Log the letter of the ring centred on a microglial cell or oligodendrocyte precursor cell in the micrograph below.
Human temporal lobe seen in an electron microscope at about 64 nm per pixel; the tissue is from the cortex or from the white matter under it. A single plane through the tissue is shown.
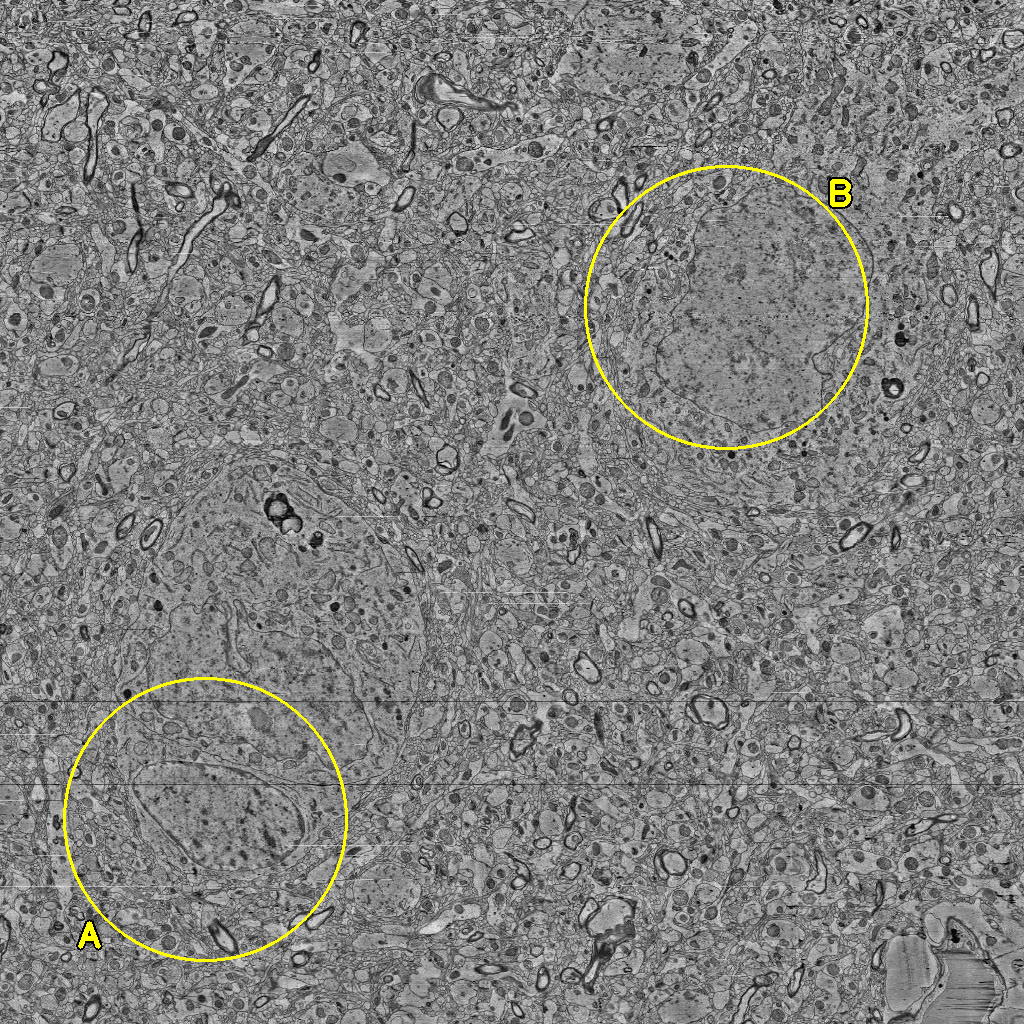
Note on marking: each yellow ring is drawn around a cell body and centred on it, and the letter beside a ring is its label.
A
